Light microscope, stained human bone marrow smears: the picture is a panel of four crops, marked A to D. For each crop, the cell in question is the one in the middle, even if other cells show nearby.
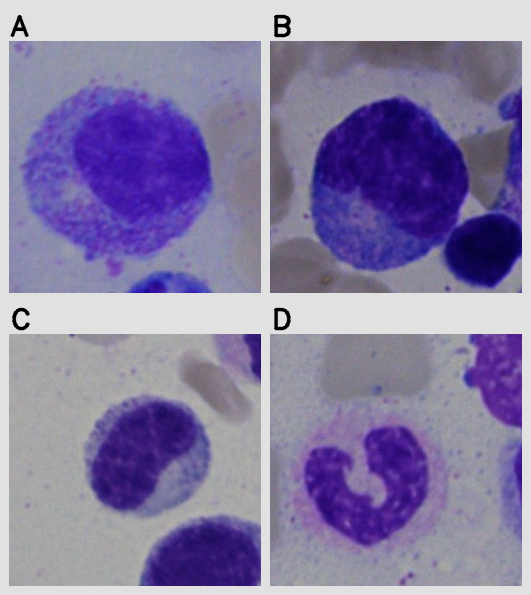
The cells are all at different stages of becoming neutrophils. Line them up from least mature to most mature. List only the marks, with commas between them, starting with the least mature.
B, A, C, D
